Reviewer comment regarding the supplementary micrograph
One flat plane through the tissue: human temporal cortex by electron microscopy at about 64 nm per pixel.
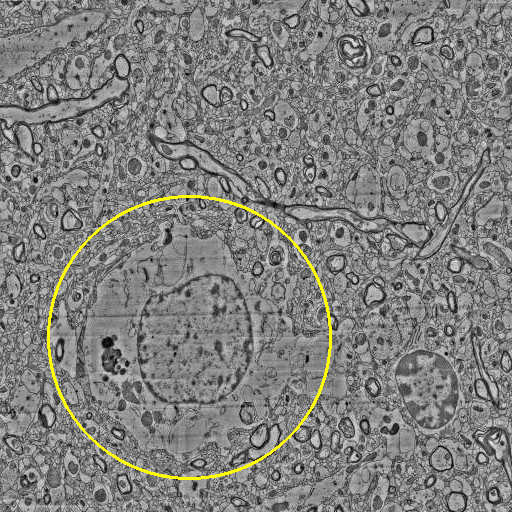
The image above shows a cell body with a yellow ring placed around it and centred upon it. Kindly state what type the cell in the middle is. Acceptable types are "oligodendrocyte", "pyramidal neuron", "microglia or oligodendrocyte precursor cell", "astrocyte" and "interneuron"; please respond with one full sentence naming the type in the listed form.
In the image above, the cell on which the yellow ring is centred is an astrocyte.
